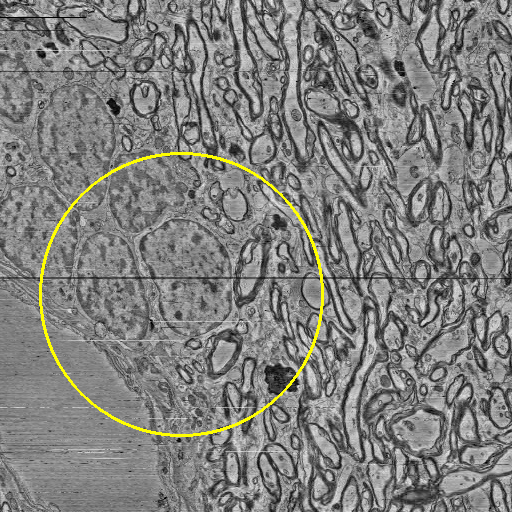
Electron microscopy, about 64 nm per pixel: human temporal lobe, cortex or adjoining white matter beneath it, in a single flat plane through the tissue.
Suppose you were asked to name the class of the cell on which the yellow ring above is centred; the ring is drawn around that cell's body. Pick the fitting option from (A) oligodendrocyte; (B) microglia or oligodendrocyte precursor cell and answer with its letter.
B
